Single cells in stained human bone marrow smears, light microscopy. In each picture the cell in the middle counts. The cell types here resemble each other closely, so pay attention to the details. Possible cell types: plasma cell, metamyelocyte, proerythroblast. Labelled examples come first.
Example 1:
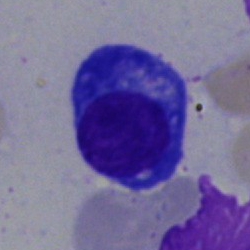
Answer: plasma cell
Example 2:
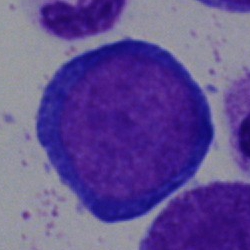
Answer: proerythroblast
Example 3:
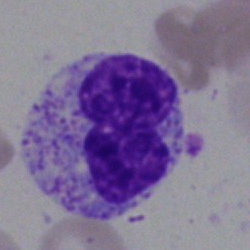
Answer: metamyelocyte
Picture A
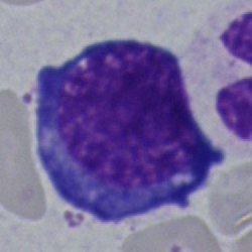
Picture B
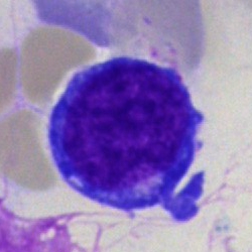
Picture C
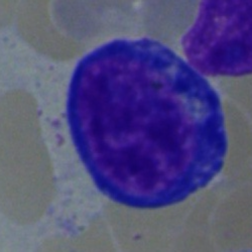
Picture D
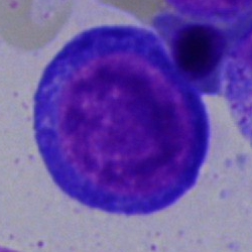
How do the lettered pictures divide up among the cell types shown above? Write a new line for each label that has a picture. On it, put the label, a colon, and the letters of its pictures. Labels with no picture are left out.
proerythroblast: A, B, C, D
